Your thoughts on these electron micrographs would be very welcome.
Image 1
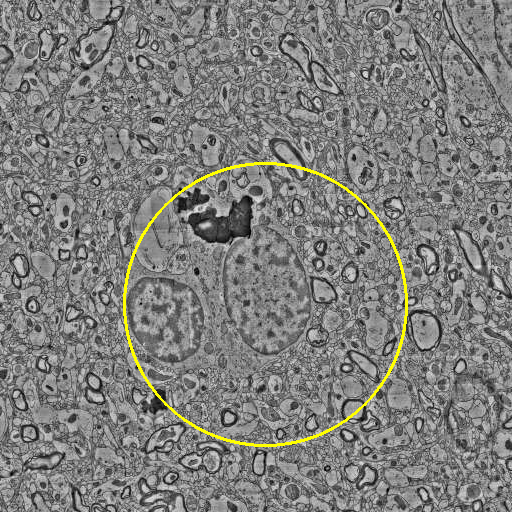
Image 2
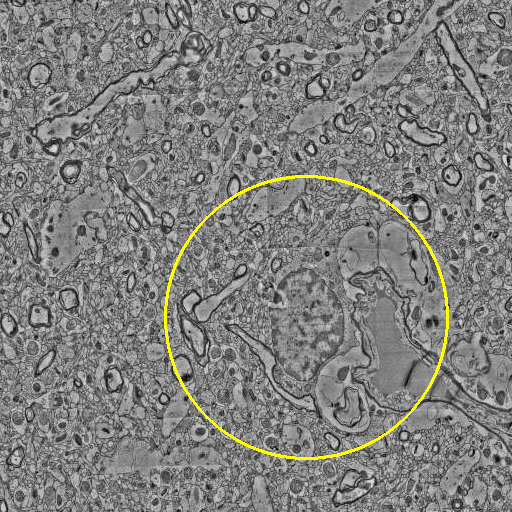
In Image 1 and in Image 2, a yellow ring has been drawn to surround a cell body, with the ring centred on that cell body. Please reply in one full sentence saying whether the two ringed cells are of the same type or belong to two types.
The ringed cells in Image 1 and Image 2 are of the same type.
